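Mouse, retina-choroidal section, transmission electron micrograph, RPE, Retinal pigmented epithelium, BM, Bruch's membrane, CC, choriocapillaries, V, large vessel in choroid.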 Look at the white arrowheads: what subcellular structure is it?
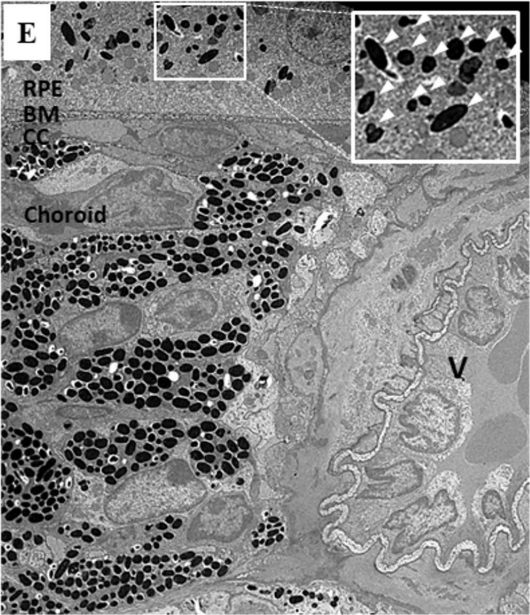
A: Melanosomes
